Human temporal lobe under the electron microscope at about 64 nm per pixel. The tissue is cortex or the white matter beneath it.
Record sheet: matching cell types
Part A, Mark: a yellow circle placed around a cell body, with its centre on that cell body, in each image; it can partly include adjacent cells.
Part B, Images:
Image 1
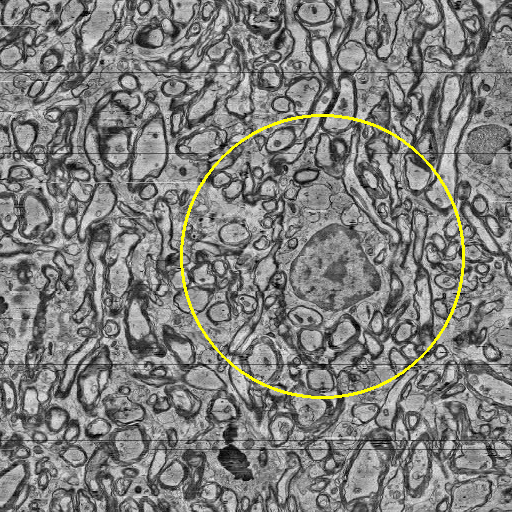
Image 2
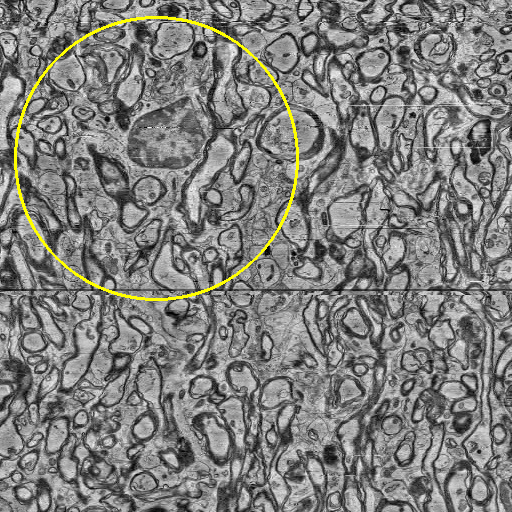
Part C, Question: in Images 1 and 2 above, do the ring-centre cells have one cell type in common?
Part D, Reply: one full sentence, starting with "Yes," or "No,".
Yes, the ring-centre cells of Image 1 and Image 2 are both of a single cell type.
